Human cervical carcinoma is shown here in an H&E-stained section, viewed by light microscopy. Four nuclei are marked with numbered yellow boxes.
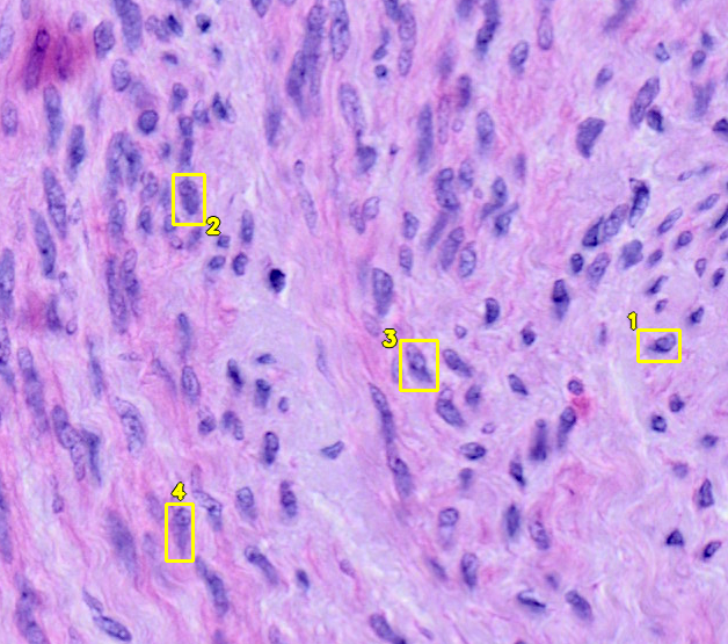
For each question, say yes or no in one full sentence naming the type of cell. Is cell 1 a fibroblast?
Yes, number 1 in this section denotes a fibroblast.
